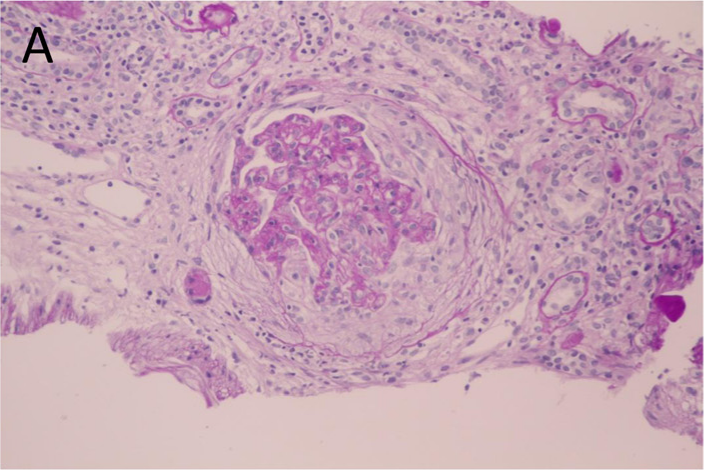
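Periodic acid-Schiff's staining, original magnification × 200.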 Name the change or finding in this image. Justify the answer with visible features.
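Numerous small round dark nuclei crowd the tissue between the tubules. Tubules with magenta basement membranes are spaced apart by the cellular infiltrate.
Many infiltrated mononuclear cells.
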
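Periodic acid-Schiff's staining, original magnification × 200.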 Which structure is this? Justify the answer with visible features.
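A glomerular tuft in the centre is compressed by a thick layer of cells and pale fibrous tissue. The surrounding layer lies outside the tuft and encircles much of it.
Conclusion: crescent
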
